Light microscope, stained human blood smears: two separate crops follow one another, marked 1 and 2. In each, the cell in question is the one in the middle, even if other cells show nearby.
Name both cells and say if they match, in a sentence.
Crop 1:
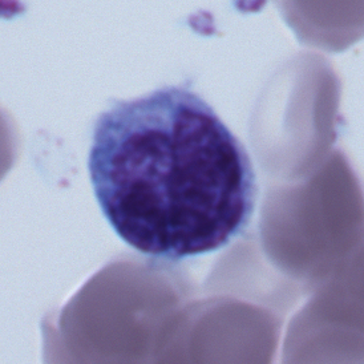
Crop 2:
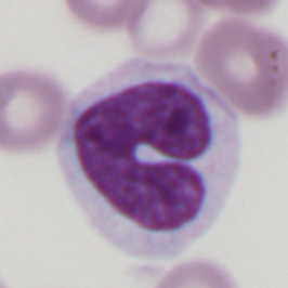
No, a monocyte occupies the middle of crop 1, and a band neutrophil the middle of crop 2.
